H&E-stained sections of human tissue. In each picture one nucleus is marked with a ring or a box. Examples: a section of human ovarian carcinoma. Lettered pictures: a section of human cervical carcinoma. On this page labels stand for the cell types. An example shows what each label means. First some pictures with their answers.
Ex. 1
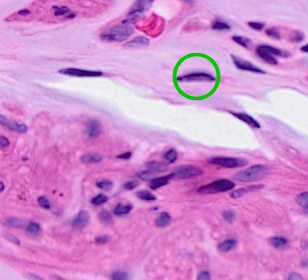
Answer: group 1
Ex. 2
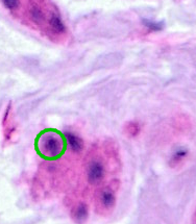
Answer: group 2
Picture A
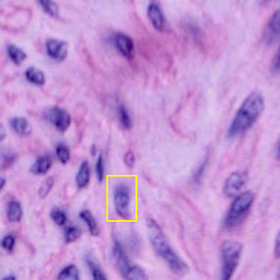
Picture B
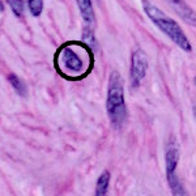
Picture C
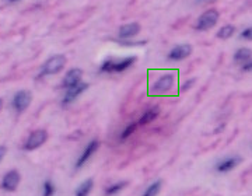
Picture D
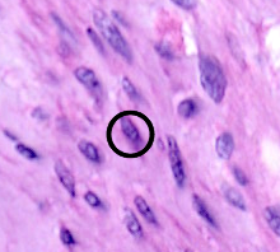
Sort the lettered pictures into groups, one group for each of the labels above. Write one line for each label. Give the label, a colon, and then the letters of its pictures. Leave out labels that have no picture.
group 2: A, B, C, D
